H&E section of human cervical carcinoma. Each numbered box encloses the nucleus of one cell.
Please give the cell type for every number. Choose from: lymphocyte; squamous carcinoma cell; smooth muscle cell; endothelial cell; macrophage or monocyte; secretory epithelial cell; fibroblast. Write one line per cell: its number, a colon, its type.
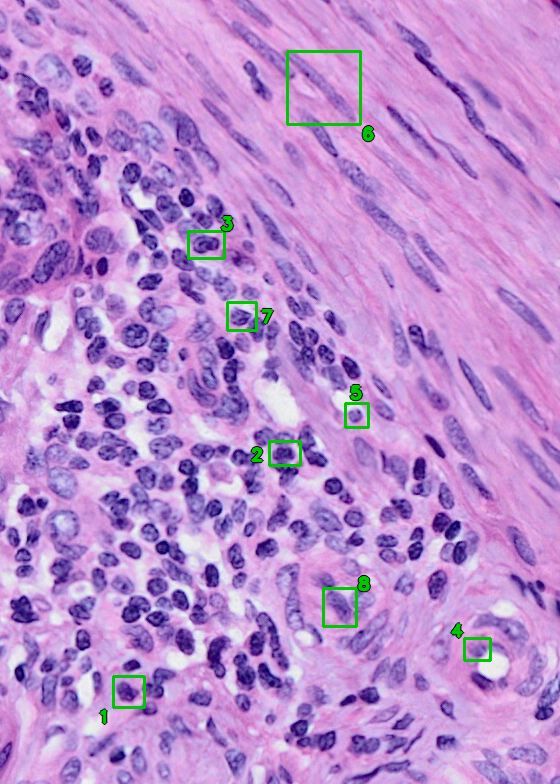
1: lymphocyte
2: lymphocyte
3: lymphocyte
4: endothelial cell
5: lymphocyte
6: smooth muscle cell
7: lymphocyte
8: endothelial cell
